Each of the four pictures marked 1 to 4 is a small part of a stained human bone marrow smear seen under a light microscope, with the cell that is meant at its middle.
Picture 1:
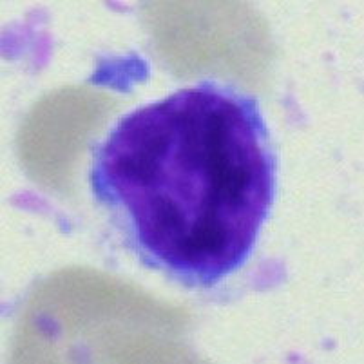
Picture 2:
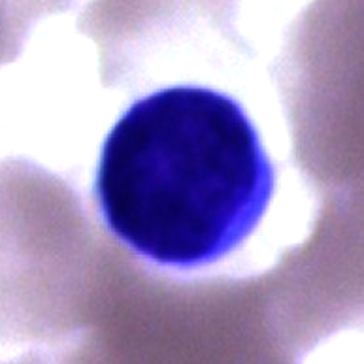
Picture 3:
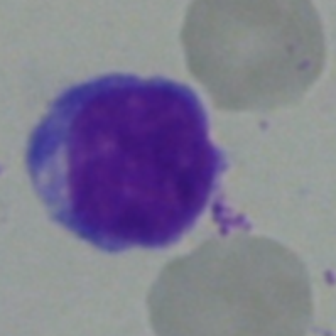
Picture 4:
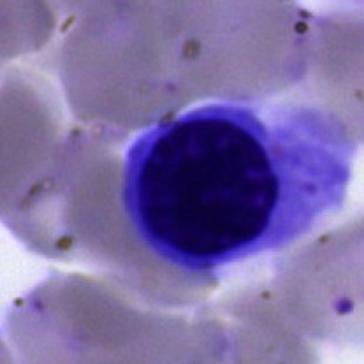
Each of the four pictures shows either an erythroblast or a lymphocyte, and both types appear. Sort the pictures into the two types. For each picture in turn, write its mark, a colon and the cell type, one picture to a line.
1: lymphocyte
2: lymphocyte
3: lymphocyte
4: erythroblast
